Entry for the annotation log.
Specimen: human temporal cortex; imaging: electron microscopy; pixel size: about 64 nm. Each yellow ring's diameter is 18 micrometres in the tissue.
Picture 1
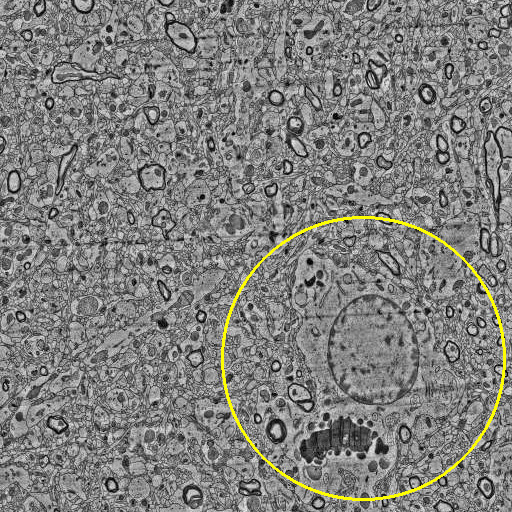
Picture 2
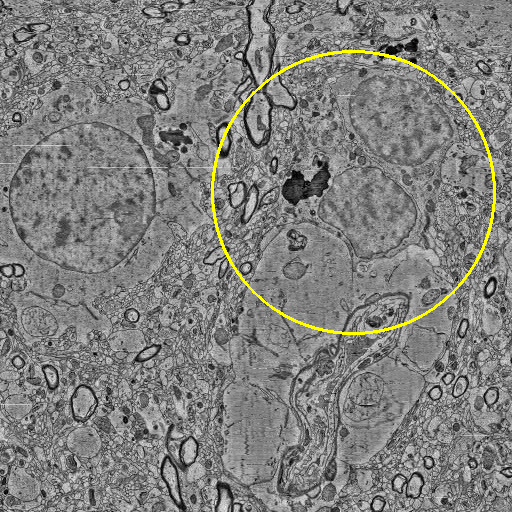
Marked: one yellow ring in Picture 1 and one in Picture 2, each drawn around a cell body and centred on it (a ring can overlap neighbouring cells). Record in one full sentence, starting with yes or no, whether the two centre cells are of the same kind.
No, the two cells are of two kinds.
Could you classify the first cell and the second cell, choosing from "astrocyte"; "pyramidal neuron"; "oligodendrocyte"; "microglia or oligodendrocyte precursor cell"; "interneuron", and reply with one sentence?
The second cell is an oligodendrocyte, while the first is an astrocyte.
